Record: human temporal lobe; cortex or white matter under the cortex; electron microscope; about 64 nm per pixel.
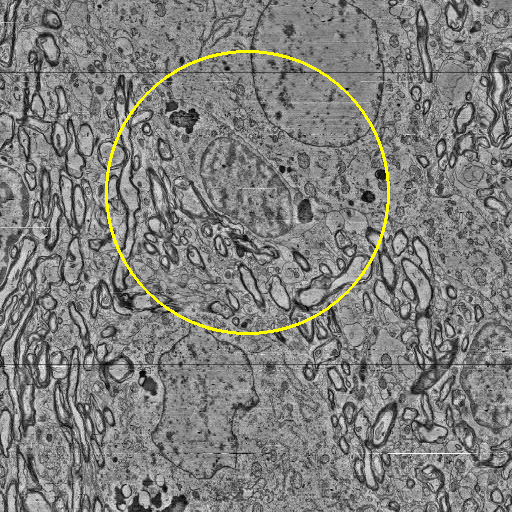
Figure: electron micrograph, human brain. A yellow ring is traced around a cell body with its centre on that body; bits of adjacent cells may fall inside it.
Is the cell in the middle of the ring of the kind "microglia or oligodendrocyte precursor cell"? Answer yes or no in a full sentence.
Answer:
No, another kind applies to the cell centred within the yellow ring of the picture.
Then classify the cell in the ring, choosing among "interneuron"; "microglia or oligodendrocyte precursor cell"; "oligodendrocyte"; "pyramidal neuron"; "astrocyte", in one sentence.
The cell marked by the ring is an oligodendrocyte.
